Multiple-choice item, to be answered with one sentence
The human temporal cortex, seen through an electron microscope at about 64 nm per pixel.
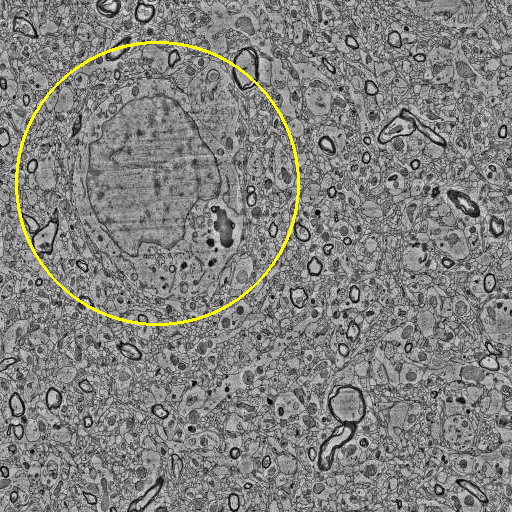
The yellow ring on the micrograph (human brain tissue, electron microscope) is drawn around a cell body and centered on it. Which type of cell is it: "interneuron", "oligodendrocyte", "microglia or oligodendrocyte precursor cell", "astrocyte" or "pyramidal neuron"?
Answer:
The ring is centered on an interneuron.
